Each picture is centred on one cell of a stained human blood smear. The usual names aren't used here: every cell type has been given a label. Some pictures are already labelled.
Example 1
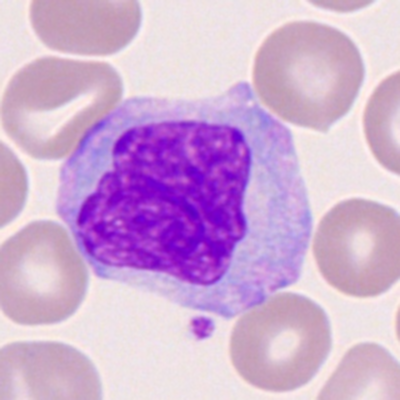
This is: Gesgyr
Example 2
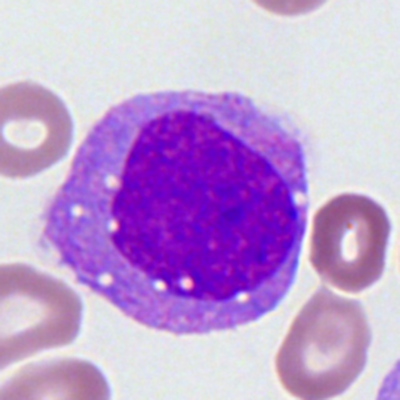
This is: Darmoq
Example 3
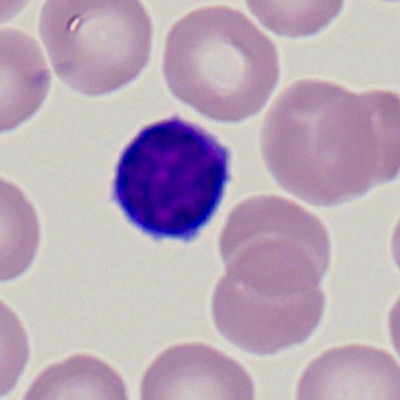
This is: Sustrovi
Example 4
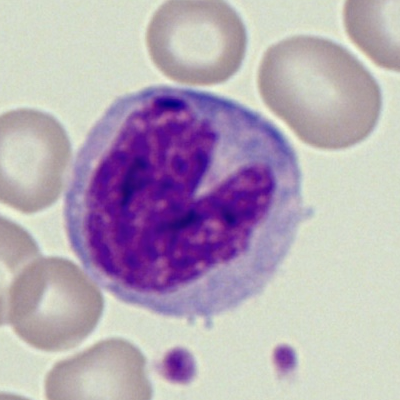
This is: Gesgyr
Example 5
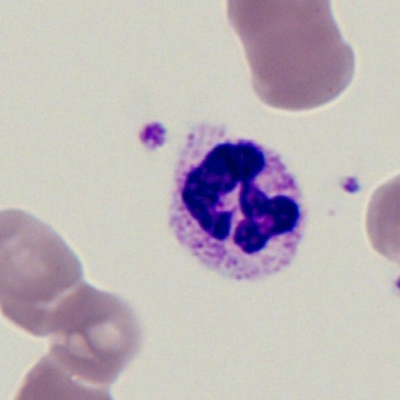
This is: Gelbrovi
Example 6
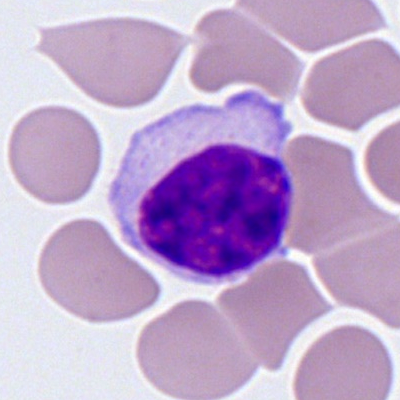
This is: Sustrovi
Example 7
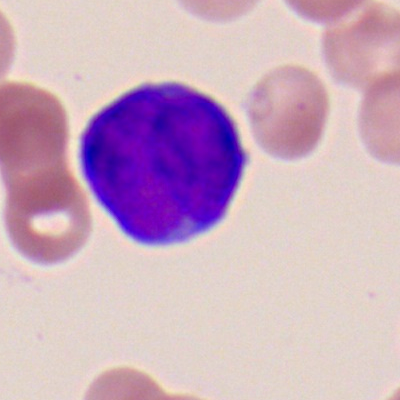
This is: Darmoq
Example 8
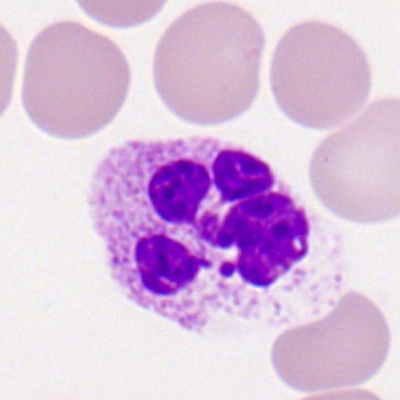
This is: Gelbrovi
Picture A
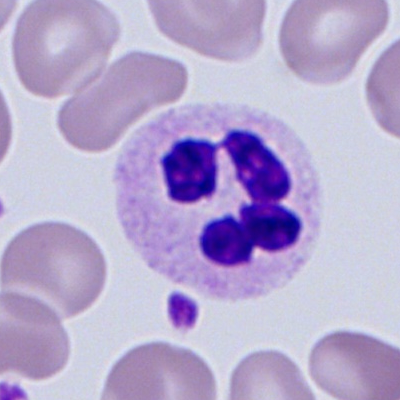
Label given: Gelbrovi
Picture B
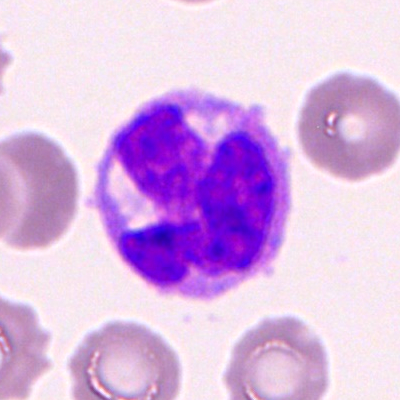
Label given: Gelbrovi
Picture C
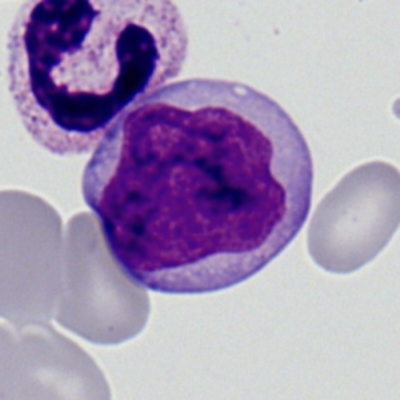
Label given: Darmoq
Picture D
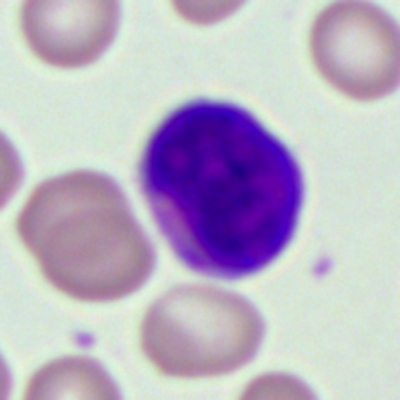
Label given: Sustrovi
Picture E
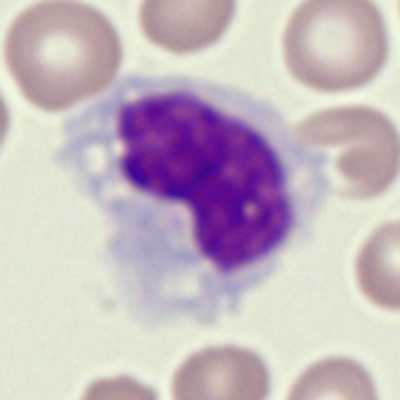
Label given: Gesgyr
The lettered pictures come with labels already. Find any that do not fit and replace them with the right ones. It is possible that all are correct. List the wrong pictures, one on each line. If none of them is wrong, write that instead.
B is labelled Gelbrovi; correct label: Gesgyr
D is labelled Sustrovi; correct label: Darmoq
